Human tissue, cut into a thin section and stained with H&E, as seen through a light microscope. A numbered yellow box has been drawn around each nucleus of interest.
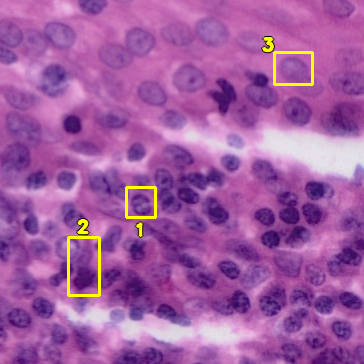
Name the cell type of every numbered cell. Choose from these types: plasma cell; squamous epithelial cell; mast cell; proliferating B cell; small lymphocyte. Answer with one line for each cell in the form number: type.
1: plasma cell
2: squamous epithelial cell
3: squamous epithelial cell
